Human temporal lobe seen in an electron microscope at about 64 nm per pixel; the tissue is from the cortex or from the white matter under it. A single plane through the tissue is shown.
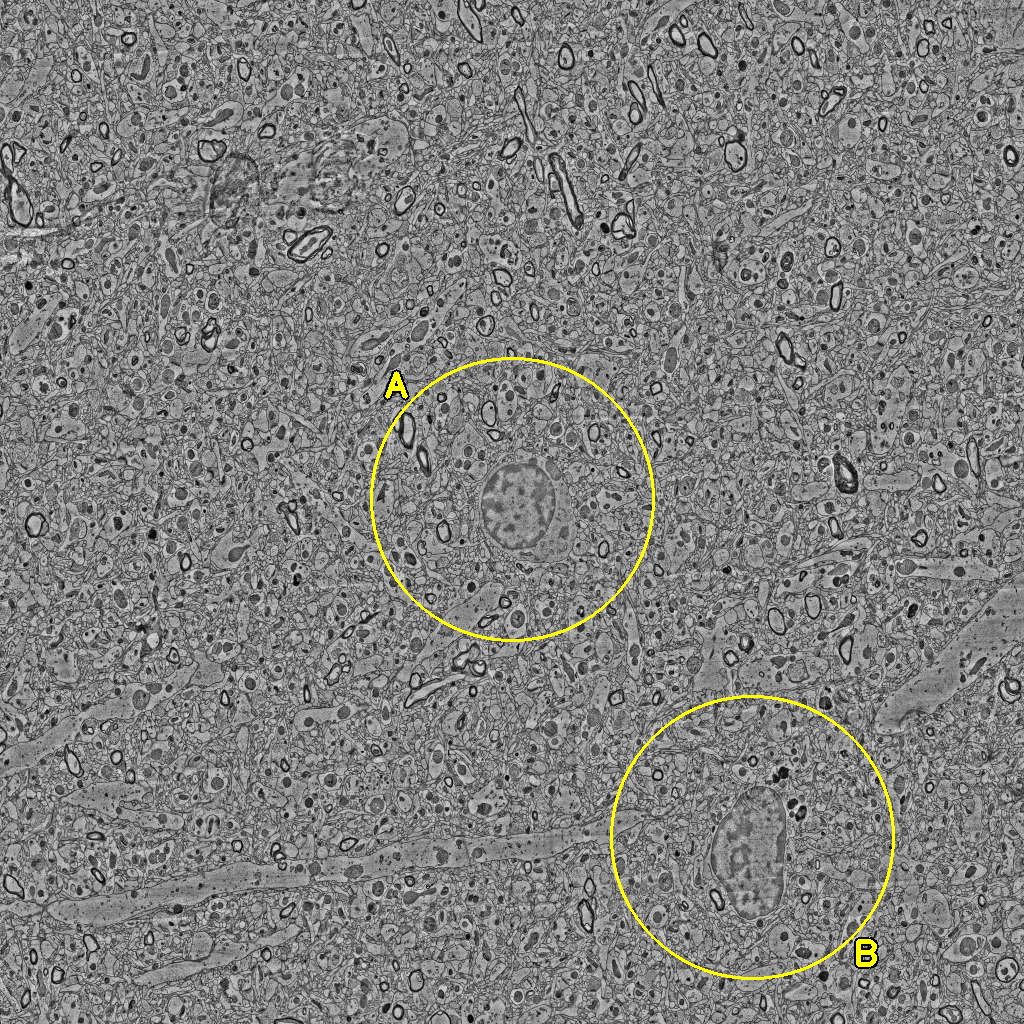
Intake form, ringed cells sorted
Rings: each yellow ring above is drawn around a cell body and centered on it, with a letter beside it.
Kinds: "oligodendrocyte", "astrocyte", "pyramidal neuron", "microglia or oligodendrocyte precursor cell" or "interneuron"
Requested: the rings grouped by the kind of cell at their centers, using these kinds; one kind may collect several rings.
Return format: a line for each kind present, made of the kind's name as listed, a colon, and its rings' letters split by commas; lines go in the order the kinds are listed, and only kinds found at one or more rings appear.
oligodendrocyte: A
microglia or oligodendrocyte precursor cell: B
